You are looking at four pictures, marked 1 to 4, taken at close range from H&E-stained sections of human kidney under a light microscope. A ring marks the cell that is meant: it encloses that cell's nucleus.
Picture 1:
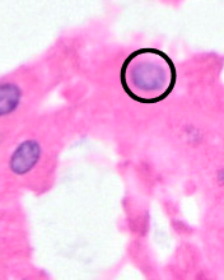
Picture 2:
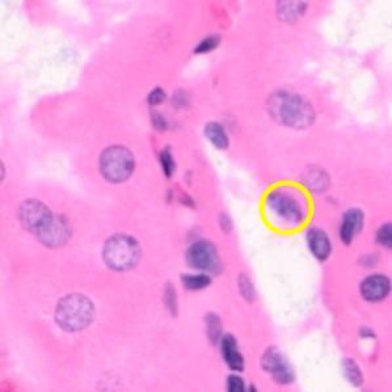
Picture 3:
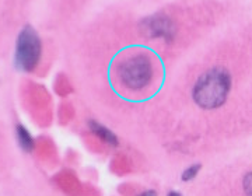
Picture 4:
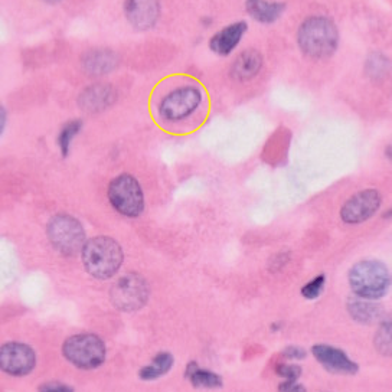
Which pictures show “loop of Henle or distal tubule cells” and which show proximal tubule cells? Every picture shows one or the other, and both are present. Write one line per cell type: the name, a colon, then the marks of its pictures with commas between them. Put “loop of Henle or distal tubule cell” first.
loop of Henle or distal tubule cell: 2
proximal tubule cell: 1, 3, 4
